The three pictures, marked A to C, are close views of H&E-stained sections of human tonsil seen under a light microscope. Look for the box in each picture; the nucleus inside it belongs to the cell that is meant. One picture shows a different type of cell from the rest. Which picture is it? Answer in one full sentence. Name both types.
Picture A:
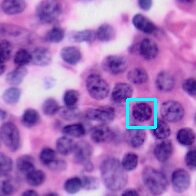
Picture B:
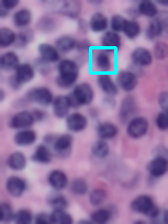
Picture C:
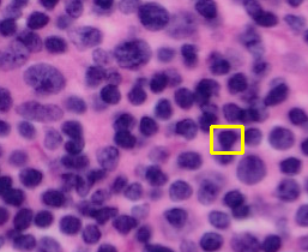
All pictures except A show small lymphocytes; picture A shows a plasma cell.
